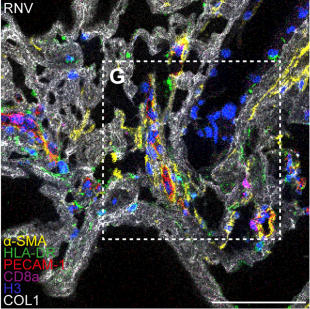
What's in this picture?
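A dense, branching meshwork of white fibrous bands fills the field, with many blue nuclei scattered along and between the strands. Elongated yellow streaks, interspersed with red and small green spots, run along several of the bands, particularly in the central area. This is a cell-rich fibrovascular membrane of the retina.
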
